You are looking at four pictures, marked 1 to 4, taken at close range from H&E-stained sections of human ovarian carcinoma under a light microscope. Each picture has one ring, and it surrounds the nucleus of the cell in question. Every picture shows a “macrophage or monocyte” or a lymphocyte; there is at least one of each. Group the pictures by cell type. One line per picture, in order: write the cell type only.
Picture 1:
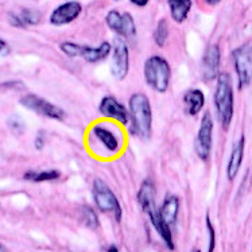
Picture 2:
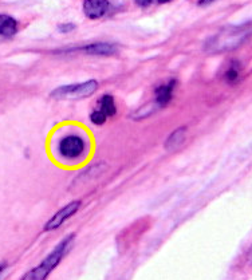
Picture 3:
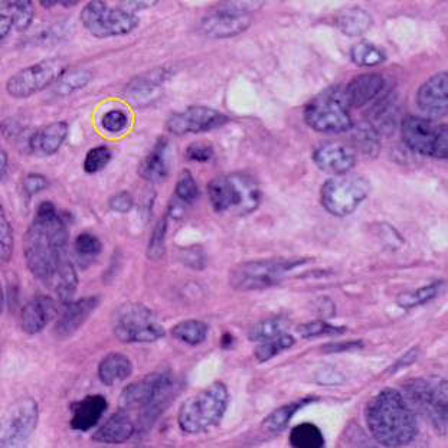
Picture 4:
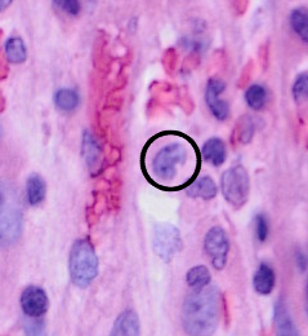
lymphocyte
lymphocyte
lymphocyte
macrophage or monocyte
